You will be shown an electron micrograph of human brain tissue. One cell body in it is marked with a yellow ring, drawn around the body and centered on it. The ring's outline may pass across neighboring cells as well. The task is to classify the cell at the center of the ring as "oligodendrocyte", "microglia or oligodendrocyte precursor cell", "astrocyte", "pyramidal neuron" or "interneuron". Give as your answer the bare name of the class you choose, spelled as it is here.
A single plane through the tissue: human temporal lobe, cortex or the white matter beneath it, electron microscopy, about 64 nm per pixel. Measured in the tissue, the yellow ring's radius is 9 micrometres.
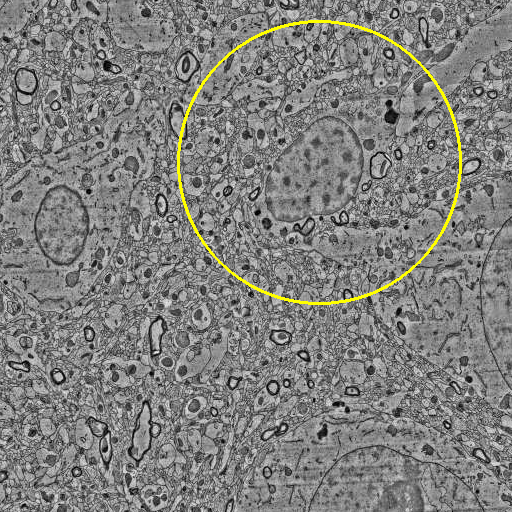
oligodendrocyte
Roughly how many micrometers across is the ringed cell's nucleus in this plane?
Roughly 7 by 6 micrometres in this plane, for the nucleus of the ringed cell.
